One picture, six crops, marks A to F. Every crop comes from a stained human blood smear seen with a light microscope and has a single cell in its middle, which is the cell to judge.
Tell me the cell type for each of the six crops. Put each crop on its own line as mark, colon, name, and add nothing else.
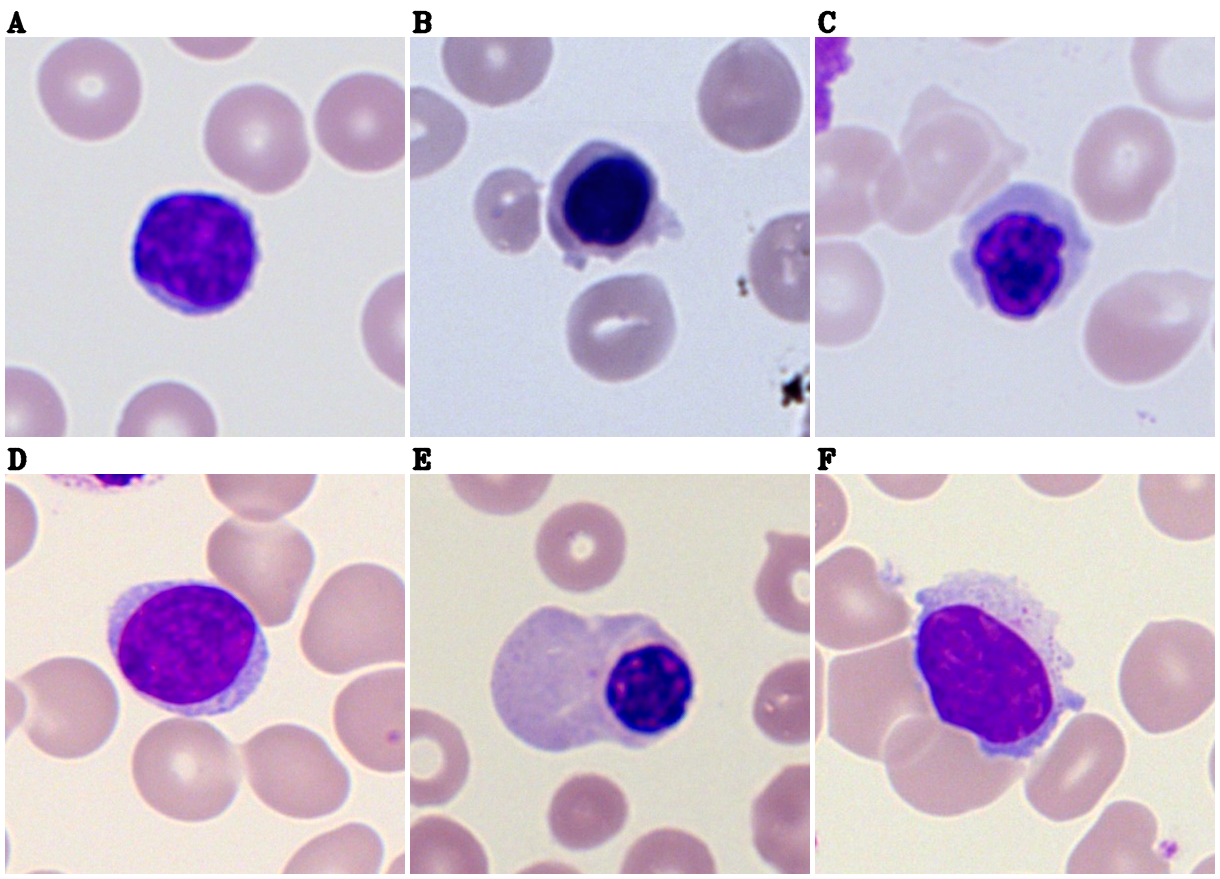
A: lymphocyte
B: erythroblast
C: erythroblast
D: lymphocyte
E: erythroblast
F: lymphocyte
